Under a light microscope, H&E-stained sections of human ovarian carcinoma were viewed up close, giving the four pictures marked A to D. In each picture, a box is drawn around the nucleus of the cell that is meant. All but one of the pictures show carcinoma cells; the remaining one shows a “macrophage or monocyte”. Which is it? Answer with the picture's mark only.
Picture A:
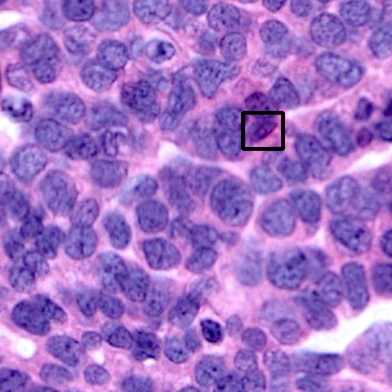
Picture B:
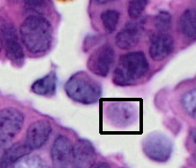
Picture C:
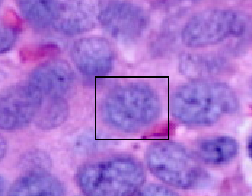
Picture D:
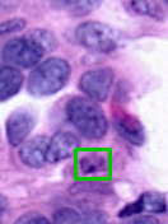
D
